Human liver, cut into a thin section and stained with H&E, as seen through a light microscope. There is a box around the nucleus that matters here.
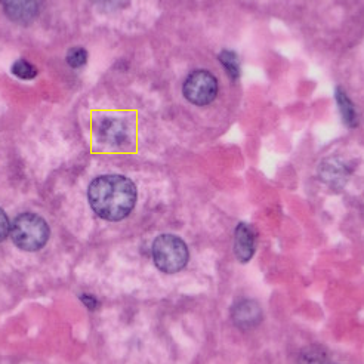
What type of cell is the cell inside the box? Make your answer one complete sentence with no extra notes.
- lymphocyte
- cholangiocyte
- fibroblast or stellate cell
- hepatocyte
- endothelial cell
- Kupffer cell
Speaking plainly, the cell inside the box is nothing other than a hepatocyte.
